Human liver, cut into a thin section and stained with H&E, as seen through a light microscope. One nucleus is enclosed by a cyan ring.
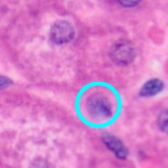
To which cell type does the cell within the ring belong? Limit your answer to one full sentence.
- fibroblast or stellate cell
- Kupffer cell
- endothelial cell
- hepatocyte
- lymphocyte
Students should answer that the cell within the ring is an endothelial cell.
